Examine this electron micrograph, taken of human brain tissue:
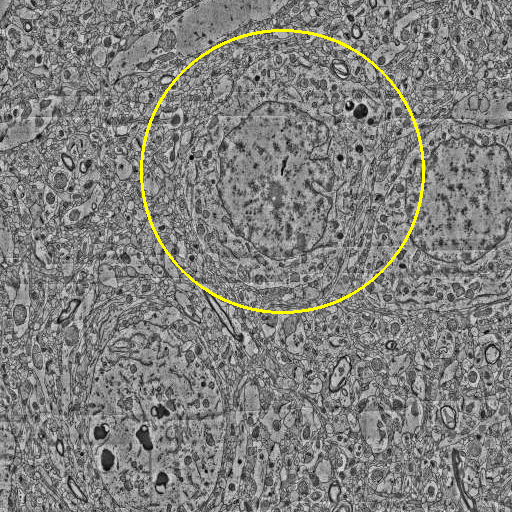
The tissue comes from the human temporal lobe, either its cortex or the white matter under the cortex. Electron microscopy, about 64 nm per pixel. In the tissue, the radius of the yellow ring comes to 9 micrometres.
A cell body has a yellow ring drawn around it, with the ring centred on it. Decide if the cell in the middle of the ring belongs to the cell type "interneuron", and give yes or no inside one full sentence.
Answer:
Yes, the cell at the centre of the yellow ring in this picture is of that type.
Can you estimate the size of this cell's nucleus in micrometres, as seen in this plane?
The ringed cell's nucleus measures approximately 10 by 8 micrometres in this plane.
